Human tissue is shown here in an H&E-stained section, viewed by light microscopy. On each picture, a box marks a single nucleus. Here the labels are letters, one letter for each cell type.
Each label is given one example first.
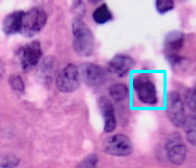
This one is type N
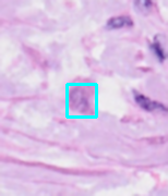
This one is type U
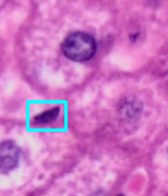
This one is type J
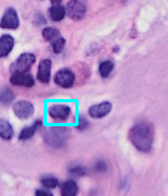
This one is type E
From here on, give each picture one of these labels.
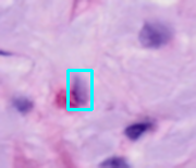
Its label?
type J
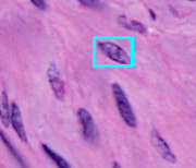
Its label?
type U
